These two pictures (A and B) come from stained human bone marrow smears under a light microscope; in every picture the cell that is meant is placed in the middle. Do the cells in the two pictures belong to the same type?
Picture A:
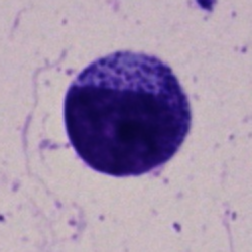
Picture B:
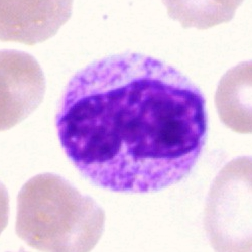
yes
